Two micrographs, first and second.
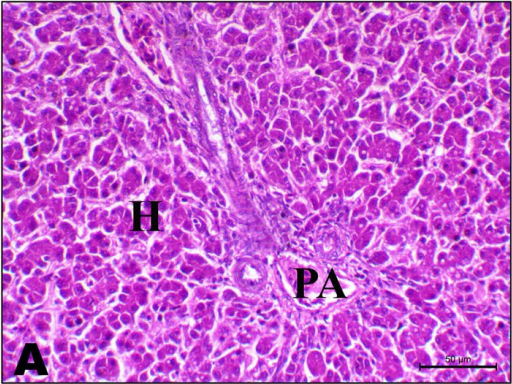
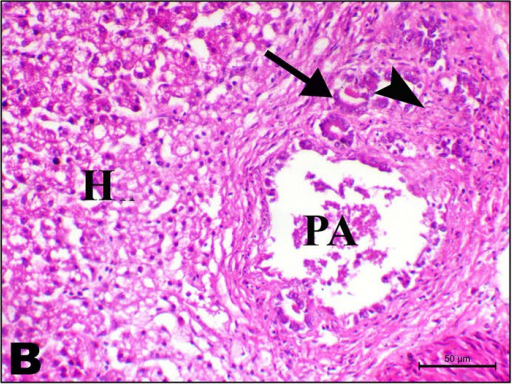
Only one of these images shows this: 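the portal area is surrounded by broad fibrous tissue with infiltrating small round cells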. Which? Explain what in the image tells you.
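Second image: a wide pale pink fibrous zone with many small dark nuclei surrounds a large dilated vessel. First image: the portal area is small and compact, surrounded directly by closely packed hepatocyte cords. The answer: the second image.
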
